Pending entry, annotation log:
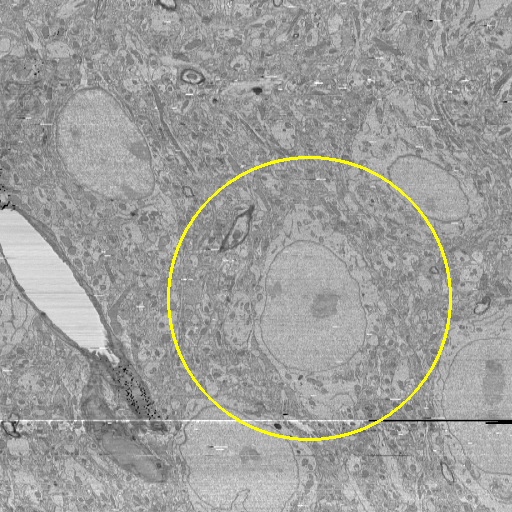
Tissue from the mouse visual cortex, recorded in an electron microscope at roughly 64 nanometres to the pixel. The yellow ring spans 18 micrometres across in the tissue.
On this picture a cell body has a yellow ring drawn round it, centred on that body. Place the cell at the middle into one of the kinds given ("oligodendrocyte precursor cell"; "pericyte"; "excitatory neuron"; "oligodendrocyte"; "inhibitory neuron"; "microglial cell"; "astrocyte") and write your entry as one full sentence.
The cell body at the middle of the yellow ring belongs to an excitatory neuron.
